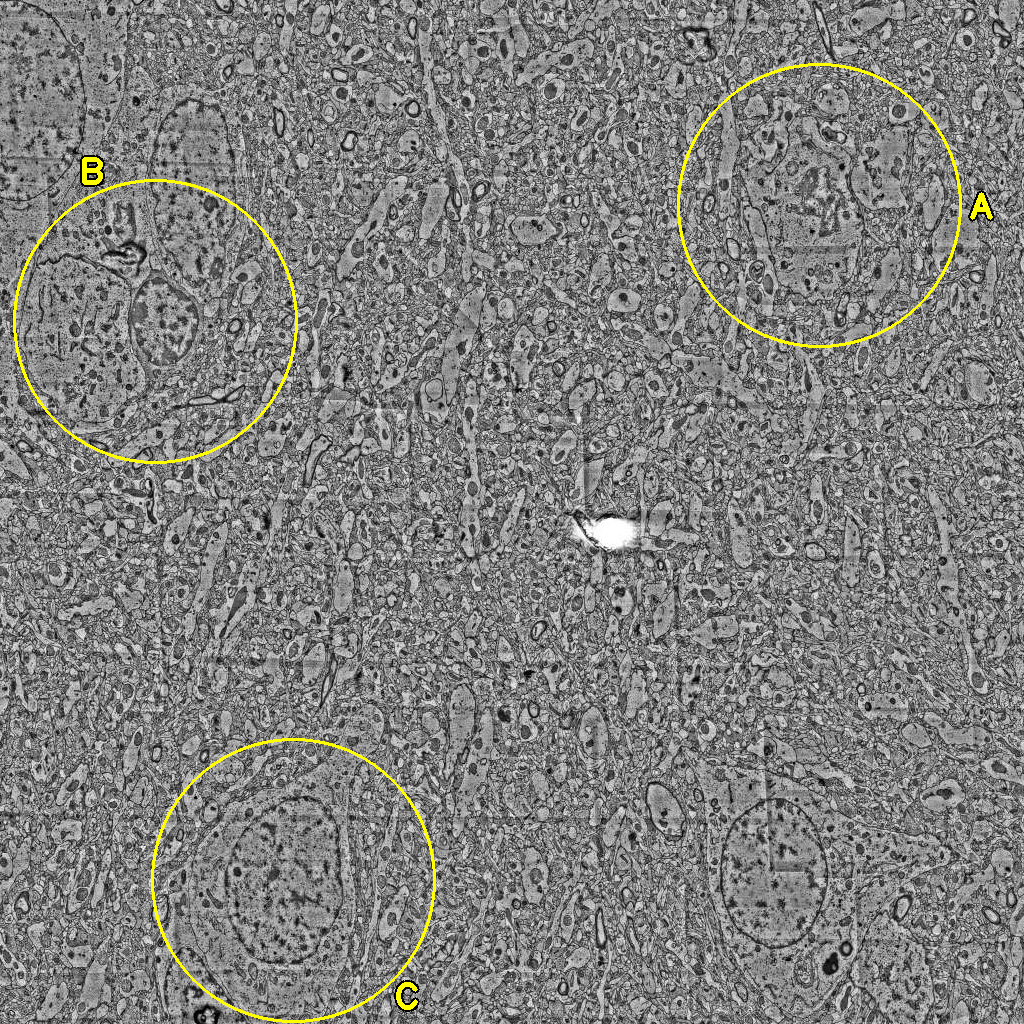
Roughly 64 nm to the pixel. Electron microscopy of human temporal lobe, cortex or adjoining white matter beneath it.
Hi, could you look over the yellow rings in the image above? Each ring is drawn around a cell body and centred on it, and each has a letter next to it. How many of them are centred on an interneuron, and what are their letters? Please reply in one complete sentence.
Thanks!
The two rings tagged with the letters A and C are each centred on an interneuron.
